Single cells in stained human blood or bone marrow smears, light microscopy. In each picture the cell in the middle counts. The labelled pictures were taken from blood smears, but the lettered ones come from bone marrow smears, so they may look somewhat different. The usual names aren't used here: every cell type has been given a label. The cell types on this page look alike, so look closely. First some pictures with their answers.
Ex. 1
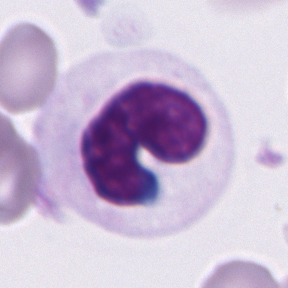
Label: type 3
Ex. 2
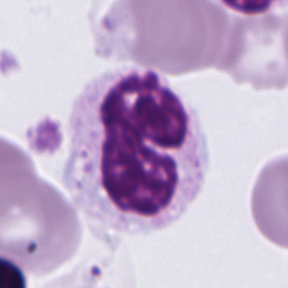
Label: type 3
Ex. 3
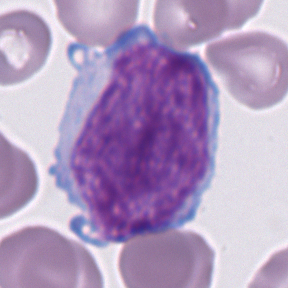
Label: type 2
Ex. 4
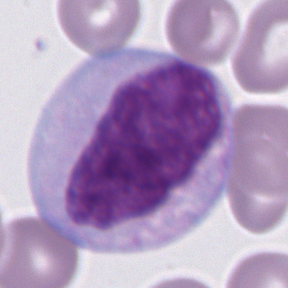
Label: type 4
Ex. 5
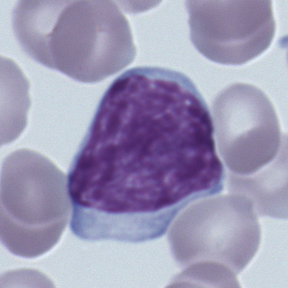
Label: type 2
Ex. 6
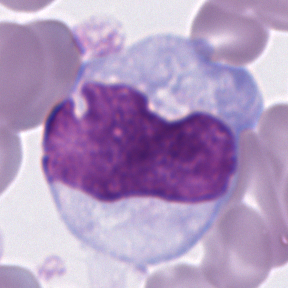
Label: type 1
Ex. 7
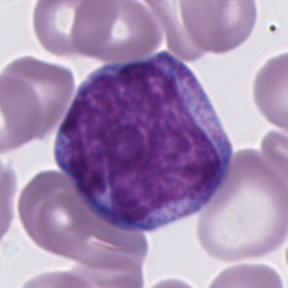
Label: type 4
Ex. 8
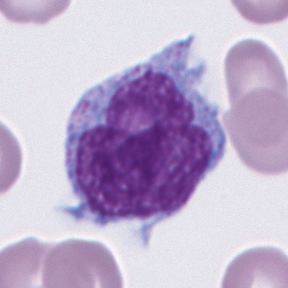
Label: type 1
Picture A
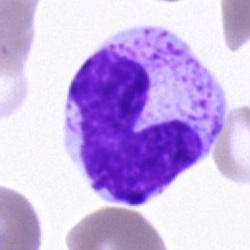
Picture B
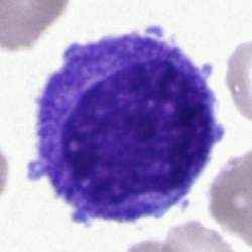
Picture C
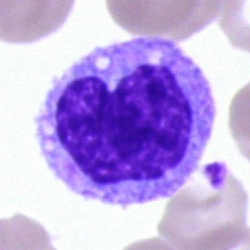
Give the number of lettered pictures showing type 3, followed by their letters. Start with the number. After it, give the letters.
Count: 1 (A)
